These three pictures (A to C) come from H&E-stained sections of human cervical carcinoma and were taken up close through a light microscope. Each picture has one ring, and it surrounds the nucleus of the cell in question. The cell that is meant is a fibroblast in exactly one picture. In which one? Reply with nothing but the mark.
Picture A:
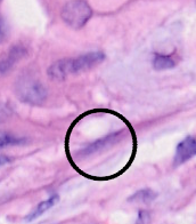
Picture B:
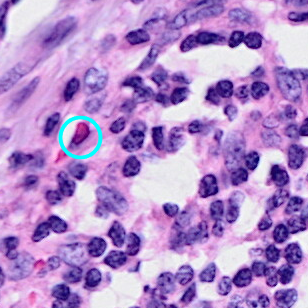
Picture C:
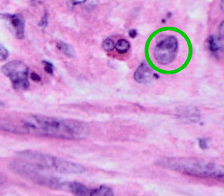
A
